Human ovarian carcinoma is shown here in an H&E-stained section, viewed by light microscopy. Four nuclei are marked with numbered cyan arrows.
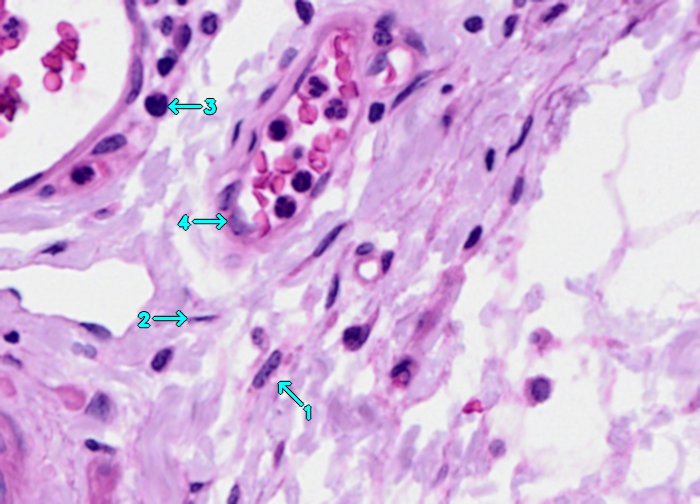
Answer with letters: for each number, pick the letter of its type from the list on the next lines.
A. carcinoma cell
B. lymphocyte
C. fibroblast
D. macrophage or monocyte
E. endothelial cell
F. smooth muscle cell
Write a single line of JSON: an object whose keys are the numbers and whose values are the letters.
{"1": "D", "2": "C", "3": "B", "4": "E"}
